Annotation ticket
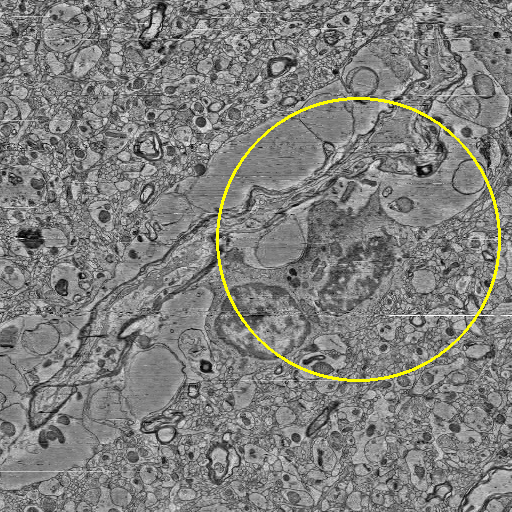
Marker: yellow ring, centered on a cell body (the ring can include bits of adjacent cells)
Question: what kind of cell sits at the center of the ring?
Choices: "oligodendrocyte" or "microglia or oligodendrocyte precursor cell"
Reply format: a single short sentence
The ring is centered on an oligodendrocyte.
